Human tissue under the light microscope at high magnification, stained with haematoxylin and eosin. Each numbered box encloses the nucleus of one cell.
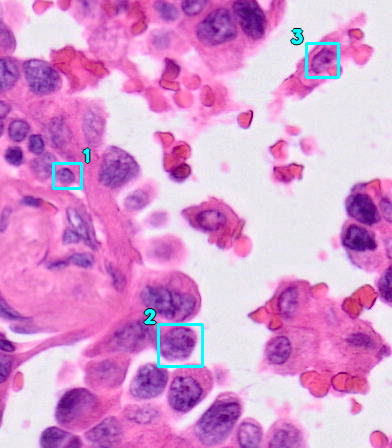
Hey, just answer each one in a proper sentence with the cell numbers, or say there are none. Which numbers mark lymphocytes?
Just one of the numbered cells is a lymphocyte, namely number 1.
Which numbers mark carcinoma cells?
Cell 2 is the one numbered cell that is a carcinoma cell.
